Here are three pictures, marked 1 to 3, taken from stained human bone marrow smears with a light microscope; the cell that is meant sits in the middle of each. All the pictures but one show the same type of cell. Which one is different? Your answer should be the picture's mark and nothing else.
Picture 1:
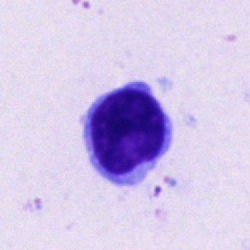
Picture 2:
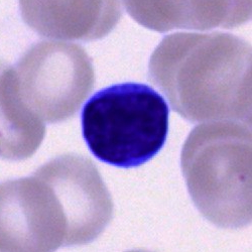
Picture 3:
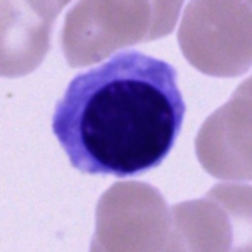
3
